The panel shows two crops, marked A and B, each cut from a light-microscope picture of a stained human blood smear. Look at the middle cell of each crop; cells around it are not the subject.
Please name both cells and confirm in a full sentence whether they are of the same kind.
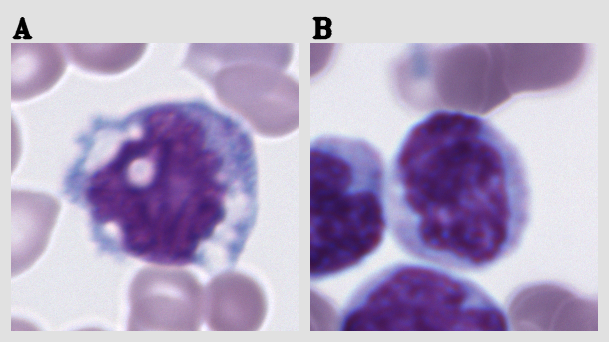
Yes, the two crops show monocytes at their centres.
